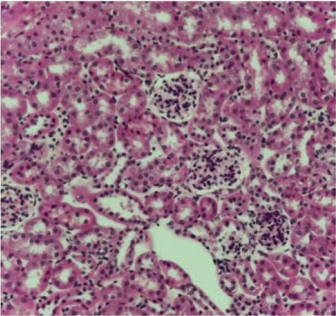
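This section of kidney cortex shows several glomeruli, each a rounded tuft crowded with dark purple nuclei and set within a narrow clear space. Around them lie closely packed tubules cut in cross and oblique section, lined by cuboidal cells with pink cytoplasm and round nuclei around small lumens. A larger thin-walled vessel with an empty lumen crosses the field.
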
